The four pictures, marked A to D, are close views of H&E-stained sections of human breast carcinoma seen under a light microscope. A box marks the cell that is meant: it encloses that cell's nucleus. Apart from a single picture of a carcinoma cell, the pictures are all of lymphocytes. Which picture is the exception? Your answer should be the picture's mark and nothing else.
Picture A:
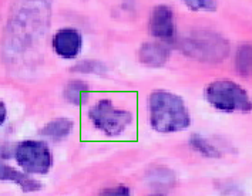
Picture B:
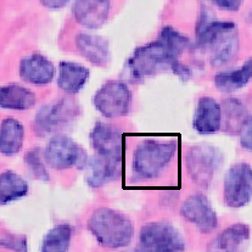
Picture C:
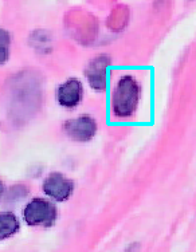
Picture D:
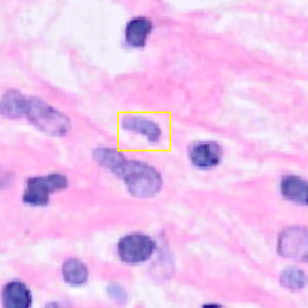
B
